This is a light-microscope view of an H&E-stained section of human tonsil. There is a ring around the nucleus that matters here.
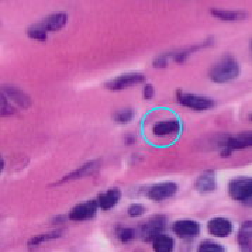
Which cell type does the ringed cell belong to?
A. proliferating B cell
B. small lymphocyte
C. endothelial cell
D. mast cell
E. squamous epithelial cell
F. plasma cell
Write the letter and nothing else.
D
